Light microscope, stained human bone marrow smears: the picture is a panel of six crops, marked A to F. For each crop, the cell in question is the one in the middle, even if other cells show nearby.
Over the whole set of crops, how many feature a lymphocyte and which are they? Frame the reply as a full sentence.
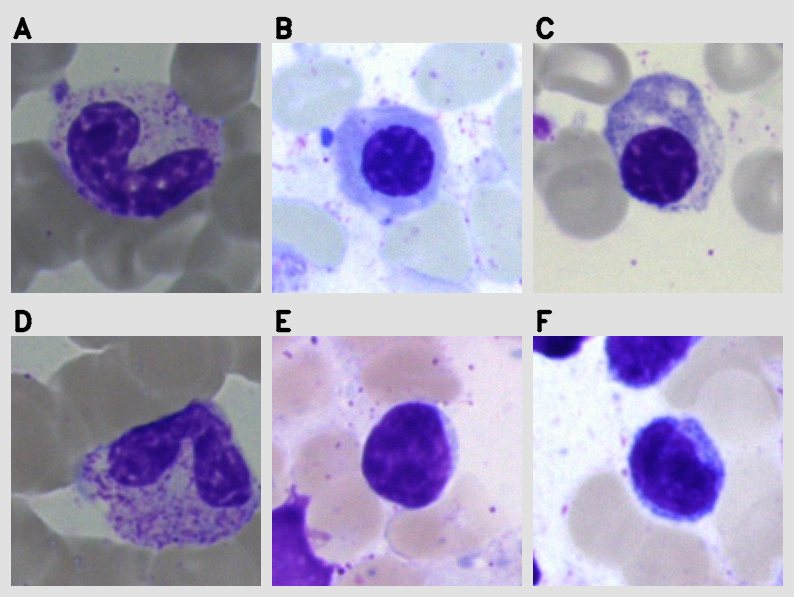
In this group, two crops have lymphocytes: E and F.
